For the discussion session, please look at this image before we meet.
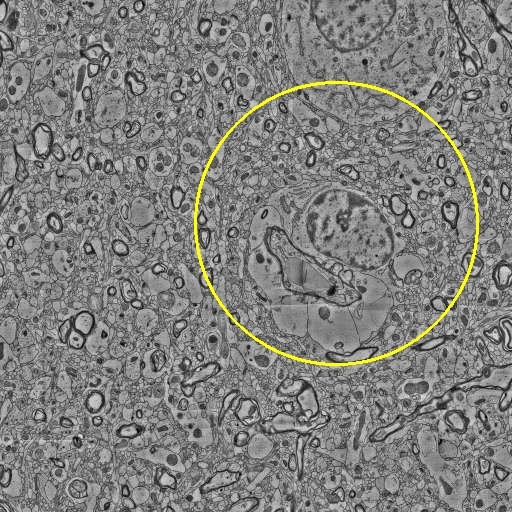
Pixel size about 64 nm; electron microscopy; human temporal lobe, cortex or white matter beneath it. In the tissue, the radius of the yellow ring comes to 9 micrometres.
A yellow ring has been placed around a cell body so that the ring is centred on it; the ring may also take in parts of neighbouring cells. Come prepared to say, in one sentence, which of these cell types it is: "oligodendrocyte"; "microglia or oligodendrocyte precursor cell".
The cell centred in the ring is a microglial cell or oligodendrocyte precursor cell.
